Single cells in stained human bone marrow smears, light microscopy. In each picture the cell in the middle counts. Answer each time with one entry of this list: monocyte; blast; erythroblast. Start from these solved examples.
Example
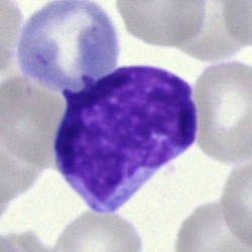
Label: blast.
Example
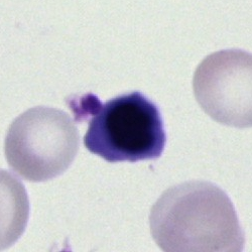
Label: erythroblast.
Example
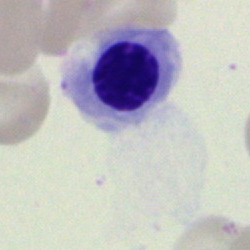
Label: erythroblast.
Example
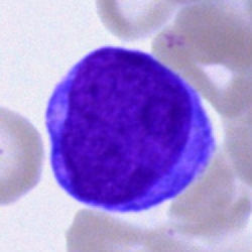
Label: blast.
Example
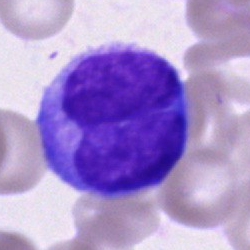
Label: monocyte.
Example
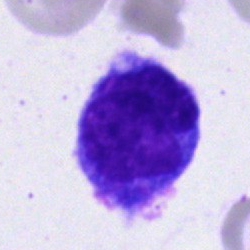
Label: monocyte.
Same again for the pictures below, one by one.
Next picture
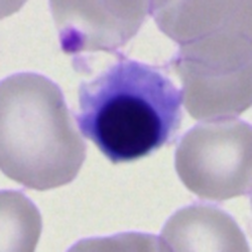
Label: erythroblast.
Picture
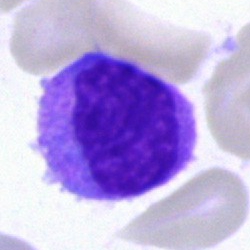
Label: monocyte.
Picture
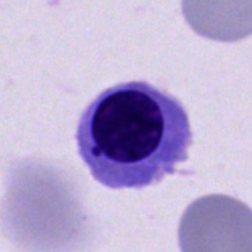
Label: erythroblast.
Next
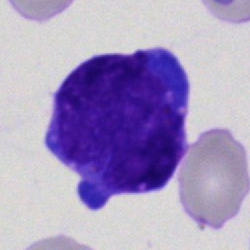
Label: blast.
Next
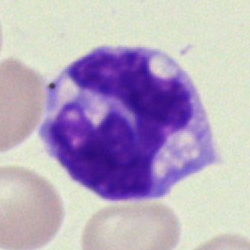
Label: monocyte.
